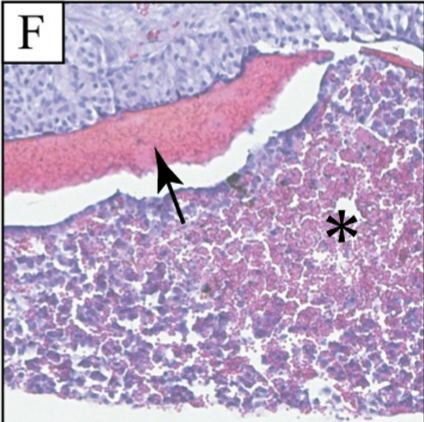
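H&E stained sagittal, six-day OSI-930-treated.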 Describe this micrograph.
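Pituitary gland around the cleft between intermediate and anterior lobes, with hemorrhage. Upper left: tightly packed cells with oval purple nuclei of the intermediate lobe. Below, a widened cleft filled by a broad band of homogeneous bright red blood. The anterior lobe beneath consists of purple polygonal glandular cells, but much of it is infiltrated by pink-red anucleate blood cells scattered between the cell clusters, giving a mottled red and purple appearance, with a small clear space among them. Small brown granules are scattered in places.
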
